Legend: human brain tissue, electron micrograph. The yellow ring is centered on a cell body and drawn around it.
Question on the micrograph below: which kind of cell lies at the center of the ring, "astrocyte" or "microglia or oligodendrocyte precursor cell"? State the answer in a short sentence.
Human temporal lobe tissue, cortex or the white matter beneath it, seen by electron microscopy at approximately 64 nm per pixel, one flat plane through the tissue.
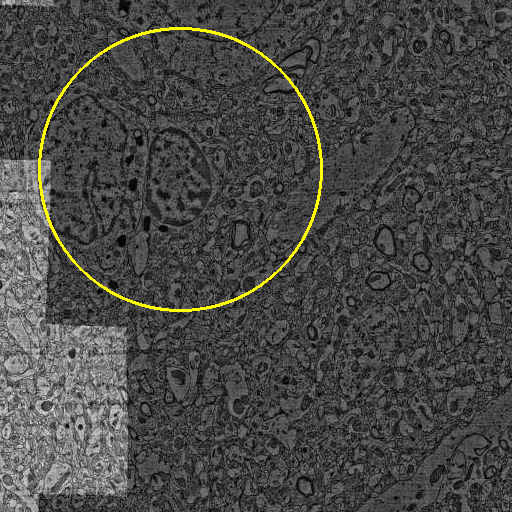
At the center of the ring lies a microglial cell or oligodendrocyte precursor cell.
